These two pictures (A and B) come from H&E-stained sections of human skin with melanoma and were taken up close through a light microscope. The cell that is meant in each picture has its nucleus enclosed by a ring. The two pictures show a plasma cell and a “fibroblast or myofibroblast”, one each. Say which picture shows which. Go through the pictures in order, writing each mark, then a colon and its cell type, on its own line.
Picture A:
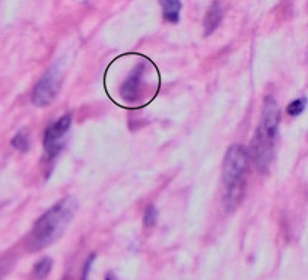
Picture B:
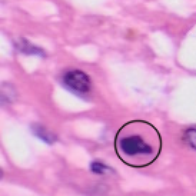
A: fibroblast or myofibroblast
B: plasma cell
